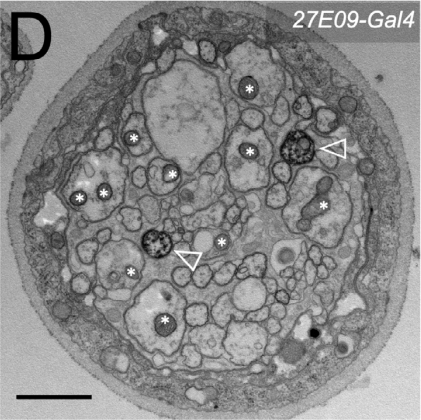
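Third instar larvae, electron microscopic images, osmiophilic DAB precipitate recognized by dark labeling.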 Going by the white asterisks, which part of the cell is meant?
mitochondria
